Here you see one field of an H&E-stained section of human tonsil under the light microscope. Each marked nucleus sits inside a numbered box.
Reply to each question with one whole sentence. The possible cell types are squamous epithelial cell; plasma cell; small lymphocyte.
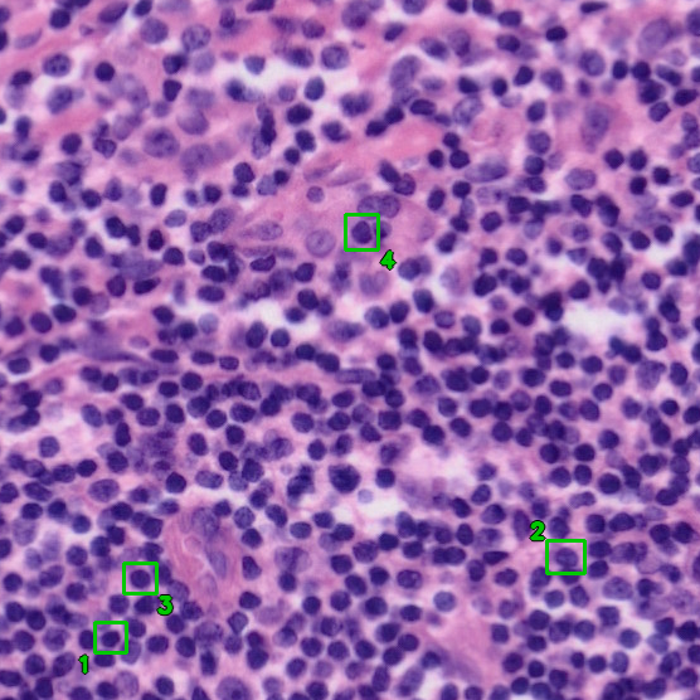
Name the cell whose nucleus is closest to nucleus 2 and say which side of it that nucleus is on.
Lying below nucleus 2, the nearest nucleus is that of a small lymphocyte.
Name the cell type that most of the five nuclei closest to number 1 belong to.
Around number 1, most of the five nearest nuclei are those of small lymphocytes.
